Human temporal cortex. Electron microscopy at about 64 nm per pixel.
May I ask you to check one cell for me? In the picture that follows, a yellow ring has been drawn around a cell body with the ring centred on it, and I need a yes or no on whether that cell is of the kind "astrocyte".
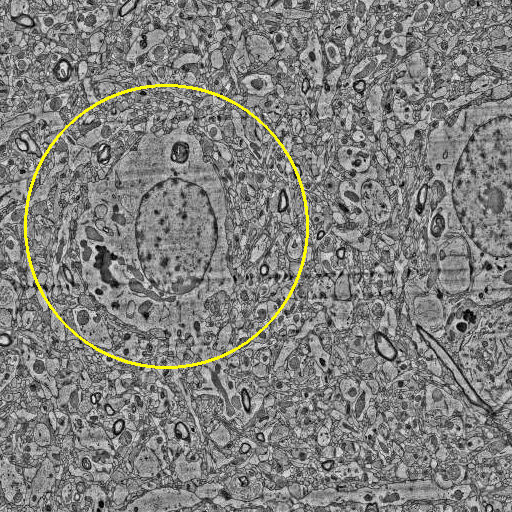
Yes, it is that kind of cell.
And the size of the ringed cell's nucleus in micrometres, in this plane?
The nucleus works out at approximately 8 by 5 micrometres in this plane.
